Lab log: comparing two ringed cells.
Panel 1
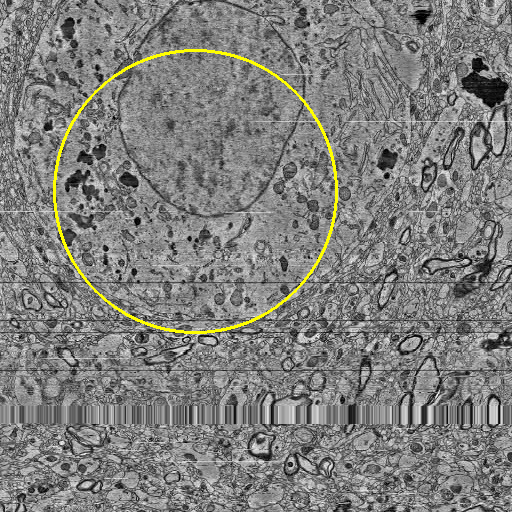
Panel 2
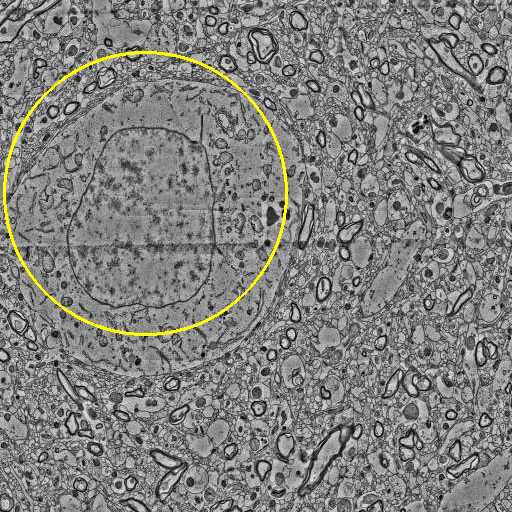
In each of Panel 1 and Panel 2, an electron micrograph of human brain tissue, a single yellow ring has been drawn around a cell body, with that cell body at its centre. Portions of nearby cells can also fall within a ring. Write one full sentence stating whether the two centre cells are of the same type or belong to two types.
The cells at the ring centres in Panel 1 and Panel 2 are of the same type.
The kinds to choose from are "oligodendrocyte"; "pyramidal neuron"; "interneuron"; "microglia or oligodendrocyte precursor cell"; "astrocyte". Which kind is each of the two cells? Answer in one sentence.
Each of the two cells is a pyramidal neuron.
